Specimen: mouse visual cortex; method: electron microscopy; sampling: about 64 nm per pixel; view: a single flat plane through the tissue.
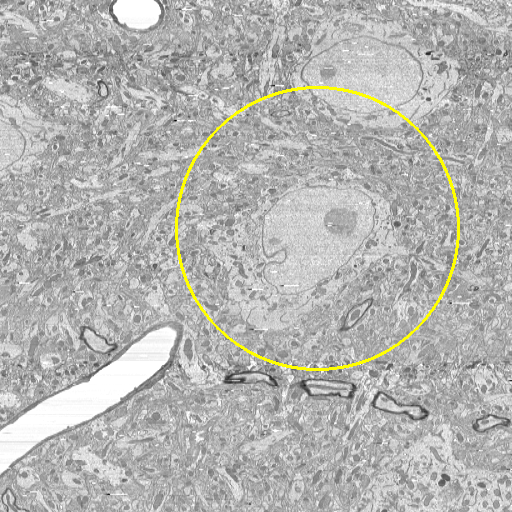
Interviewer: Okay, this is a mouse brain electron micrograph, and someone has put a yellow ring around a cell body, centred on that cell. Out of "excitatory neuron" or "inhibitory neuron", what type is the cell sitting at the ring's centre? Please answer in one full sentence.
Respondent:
The cell at the centre of the yellow ring in this picture is an excitatory neuron.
